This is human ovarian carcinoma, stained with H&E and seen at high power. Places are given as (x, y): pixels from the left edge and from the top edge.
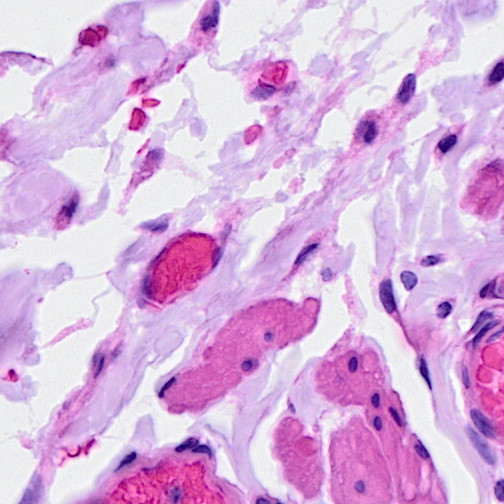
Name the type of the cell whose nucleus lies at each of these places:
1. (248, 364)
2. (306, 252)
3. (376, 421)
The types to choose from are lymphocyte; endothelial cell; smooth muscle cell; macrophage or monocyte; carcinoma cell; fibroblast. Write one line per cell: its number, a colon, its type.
1: smooth muscle cell
2: fibroblast
3: smooth muscle cell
